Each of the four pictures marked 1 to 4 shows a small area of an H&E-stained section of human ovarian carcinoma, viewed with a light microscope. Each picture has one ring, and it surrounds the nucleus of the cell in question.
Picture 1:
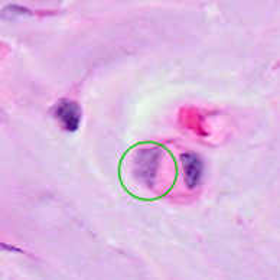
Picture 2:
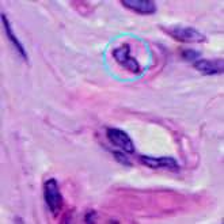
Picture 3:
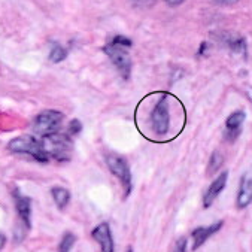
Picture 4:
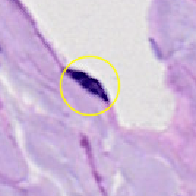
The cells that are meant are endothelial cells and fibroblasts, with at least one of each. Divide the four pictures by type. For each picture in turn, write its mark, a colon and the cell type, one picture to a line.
1: endothelial cell
2: endothelial cell
3: fibroblast
4: endothelial cell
